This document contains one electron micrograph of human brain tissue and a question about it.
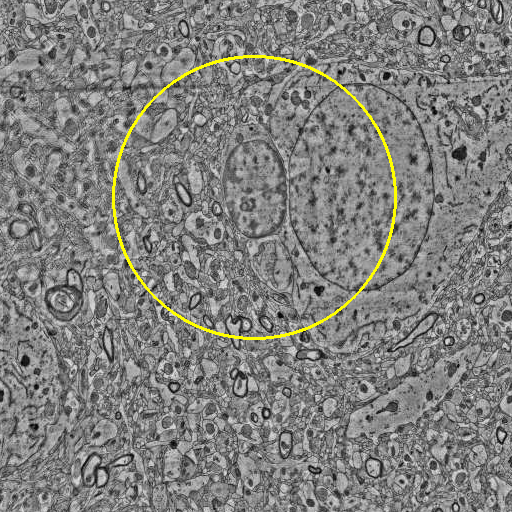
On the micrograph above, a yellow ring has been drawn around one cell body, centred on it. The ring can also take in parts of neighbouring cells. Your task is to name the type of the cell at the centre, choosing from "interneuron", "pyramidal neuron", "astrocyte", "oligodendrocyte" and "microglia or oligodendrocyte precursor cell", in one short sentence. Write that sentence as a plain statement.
Here the ring is centred on an oligodendrocyte.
